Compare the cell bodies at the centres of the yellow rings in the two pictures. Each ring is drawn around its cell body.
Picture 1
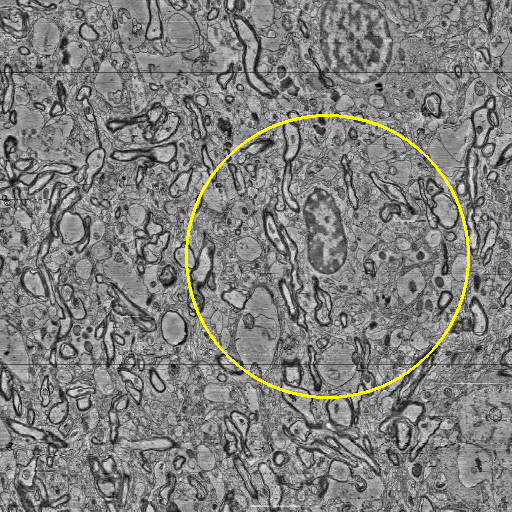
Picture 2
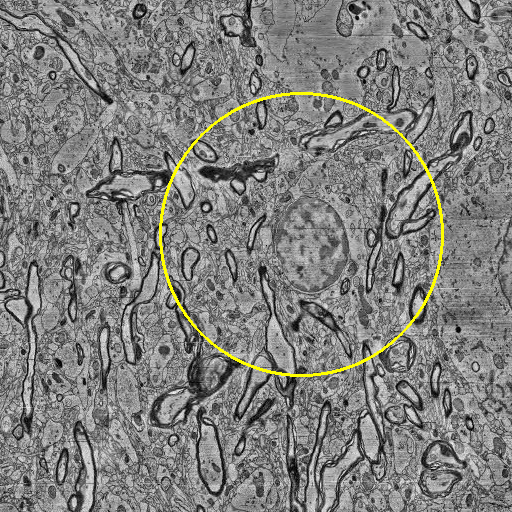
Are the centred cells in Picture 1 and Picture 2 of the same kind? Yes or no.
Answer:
yes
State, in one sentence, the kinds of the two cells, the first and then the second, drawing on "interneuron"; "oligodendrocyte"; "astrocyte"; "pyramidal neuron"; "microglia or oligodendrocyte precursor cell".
In each picture the ringed cell is a microglial cell or oligodendrocyte precursor cell.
